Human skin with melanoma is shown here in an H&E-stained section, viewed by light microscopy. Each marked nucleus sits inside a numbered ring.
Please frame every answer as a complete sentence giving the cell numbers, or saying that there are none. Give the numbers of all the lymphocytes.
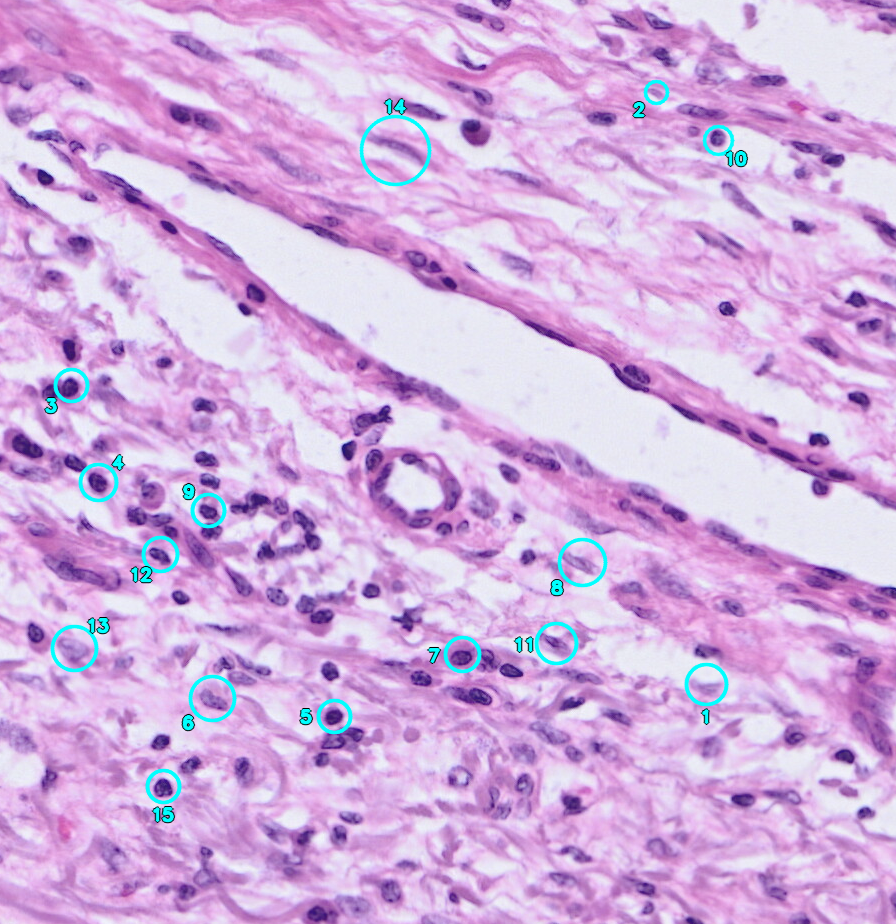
To be specific, the cells numbered 9, 10, 12 and 15 are lymphocytes.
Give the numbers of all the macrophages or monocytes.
Cell 6 stands alone among the numbered cells as a macrophage or monocyte.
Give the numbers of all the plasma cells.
Cells 3, 4, 5 and 7 share one type; they are plasma cells.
